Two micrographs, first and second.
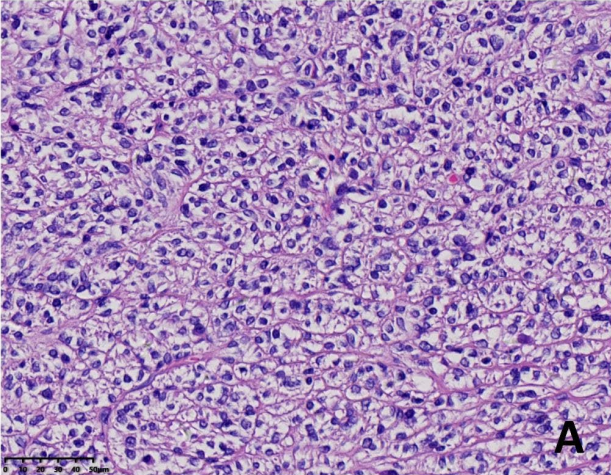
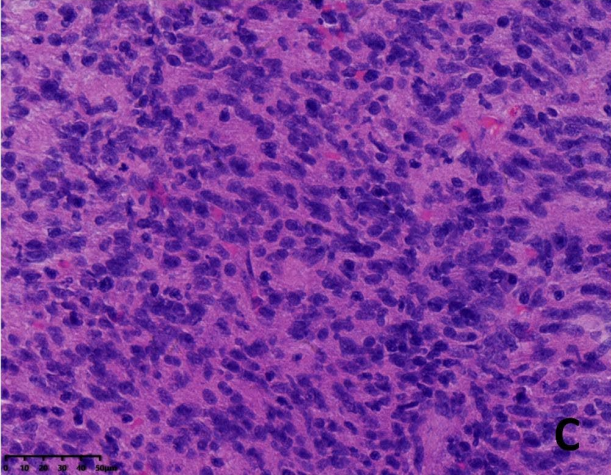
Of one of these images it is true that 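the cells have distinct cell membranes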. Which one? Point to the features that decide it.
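The first image. Second image: densely packed dark nuclei with cell borders hard to see. First image: clear cells each outlined by a thin pink membrane.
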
